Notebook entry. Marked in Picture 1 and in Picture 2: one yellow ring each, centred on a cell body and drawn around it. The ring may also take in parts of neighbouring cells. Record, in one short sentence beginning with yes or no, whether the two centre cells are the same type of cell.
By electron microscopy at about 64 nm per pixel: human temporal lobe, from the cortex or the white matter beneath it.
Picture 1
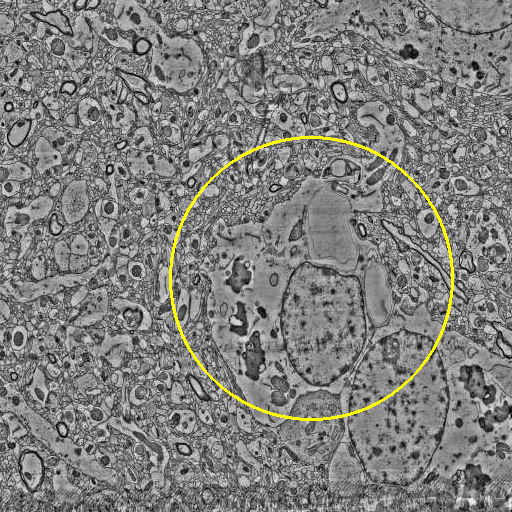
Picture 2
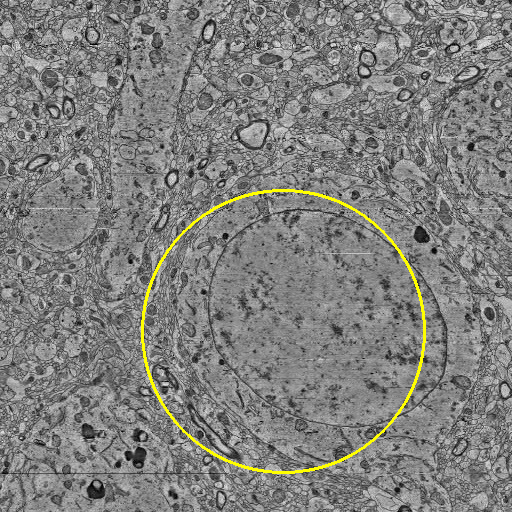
No, they are two types of cell.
